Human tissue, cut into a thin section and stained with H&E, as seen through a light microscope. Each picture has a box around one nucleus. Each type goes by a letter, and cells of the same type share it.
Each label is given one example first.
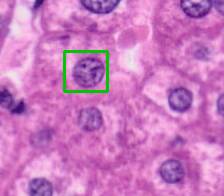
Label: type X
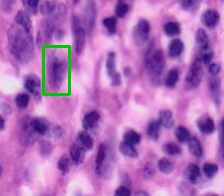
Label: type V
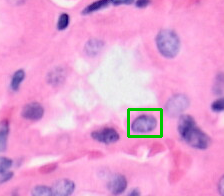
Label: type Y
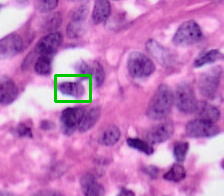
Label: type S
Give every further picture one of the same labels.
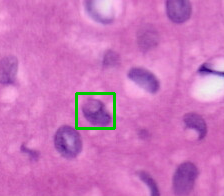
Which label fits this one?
type V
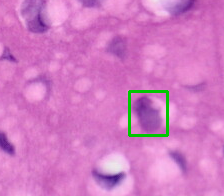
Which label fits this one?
type V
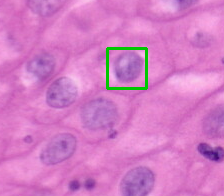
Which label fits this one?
type V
